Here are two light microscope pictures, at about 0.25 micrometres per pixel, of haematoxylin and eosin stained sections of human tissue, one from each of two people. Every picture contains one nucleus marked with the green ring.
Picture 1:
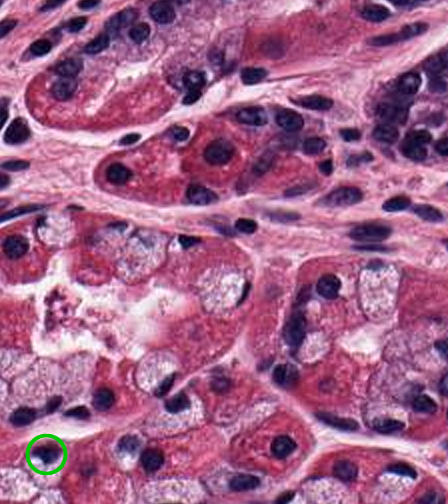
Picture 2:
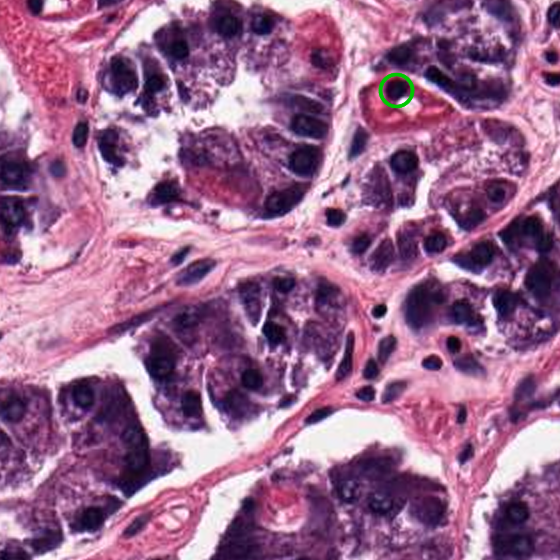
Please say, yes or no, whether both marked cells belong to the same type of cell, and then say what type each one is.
No, the first is a mucous gland cell and the second a parietal cell.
